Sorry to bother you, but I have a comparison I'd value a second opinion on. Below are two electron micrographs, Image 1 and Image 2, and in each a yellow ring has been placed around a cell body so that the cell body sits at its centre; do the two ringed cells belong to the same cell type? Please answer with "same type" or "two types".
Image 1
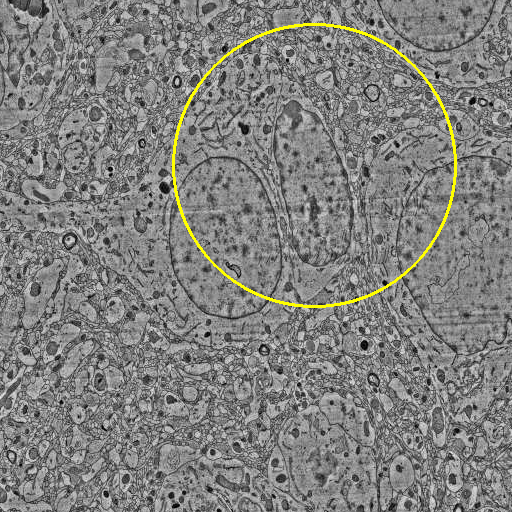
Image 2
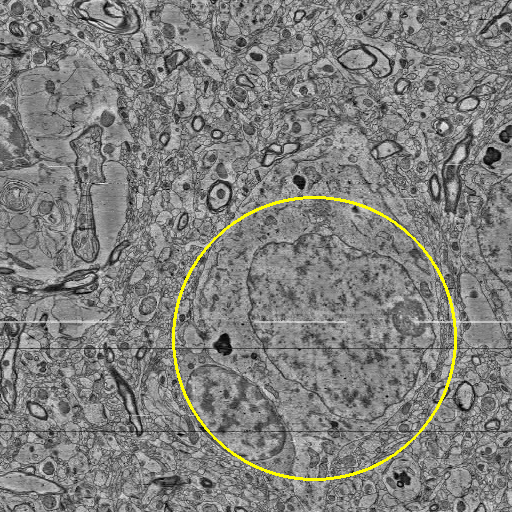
two types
